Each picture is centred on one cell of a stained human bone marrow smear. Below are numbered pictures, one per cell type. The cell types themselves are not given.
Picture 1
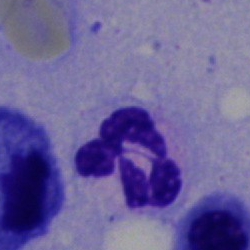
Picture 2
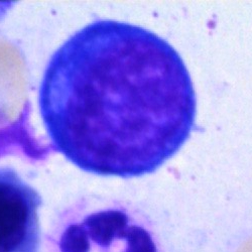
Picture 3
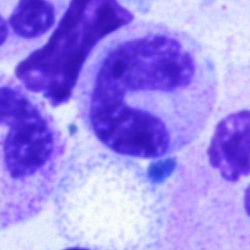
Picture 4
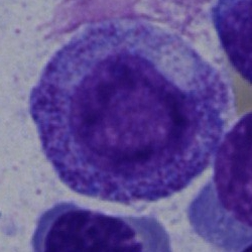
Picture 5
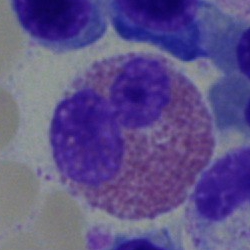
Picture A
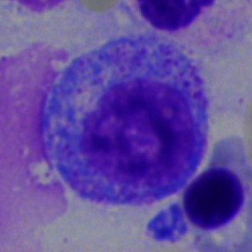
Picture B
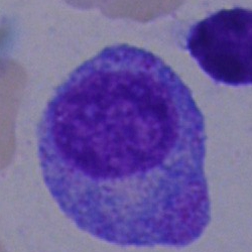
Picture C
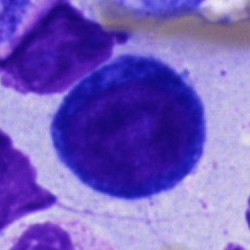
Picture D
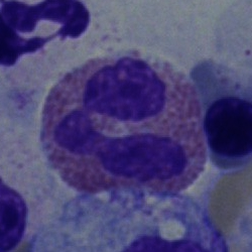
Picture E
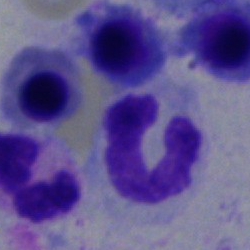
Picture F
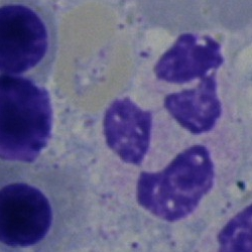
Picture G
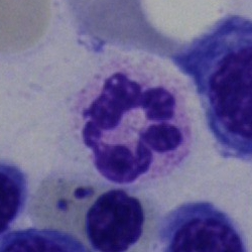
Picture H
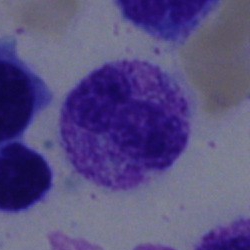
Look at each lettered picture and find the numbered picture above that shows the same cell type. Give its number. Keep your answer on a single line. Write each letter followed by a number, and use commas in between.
A 4, B 4, C 2, D 5, E 1, F 1, G 1, H 3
